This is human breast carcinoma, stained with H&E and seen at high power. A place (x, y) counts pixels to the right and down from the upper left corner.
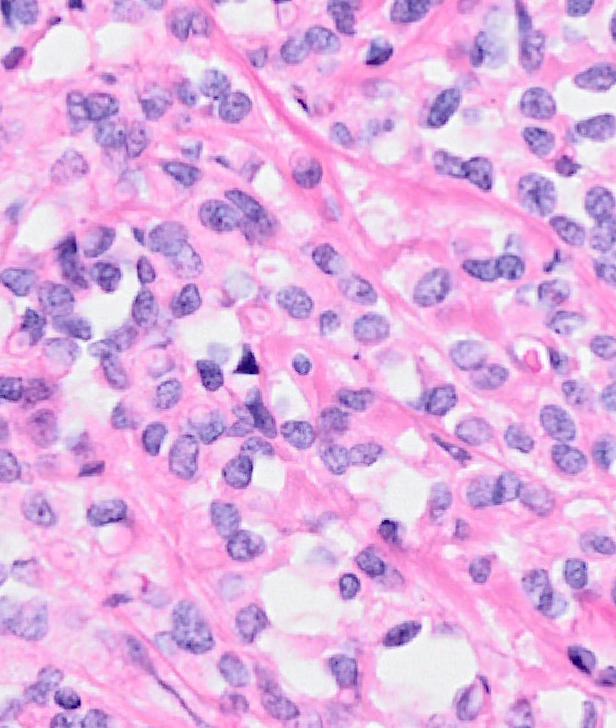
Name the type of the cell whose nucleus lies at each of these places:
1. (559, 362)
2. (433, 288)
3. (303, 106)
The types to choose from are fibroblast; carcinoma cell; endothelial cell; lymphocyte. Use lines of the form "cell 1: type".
cell 1: endothelial cell
cell 2: carcinoma cell
cell 3: endothelial cell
